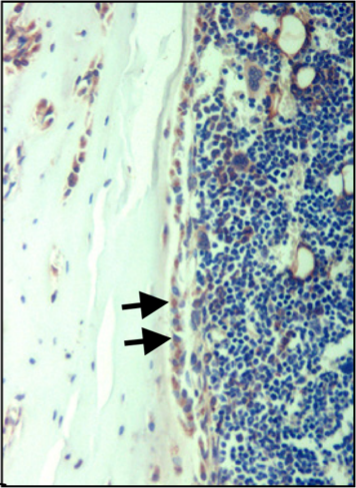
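This is the edge of the marrow cavity against bone, with bone-lining osteoblasts between the two. On the left lies pale, glassy bone matrix with small elongated blue nuclei scattered through it. Along its inner surface runs a row of cells whose cytoplasm is stained brown, next to the marrow. On the right the marrow is densely packed with small round blue nuclei, and a few round clear spaces of fat cells are seen near the top.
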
